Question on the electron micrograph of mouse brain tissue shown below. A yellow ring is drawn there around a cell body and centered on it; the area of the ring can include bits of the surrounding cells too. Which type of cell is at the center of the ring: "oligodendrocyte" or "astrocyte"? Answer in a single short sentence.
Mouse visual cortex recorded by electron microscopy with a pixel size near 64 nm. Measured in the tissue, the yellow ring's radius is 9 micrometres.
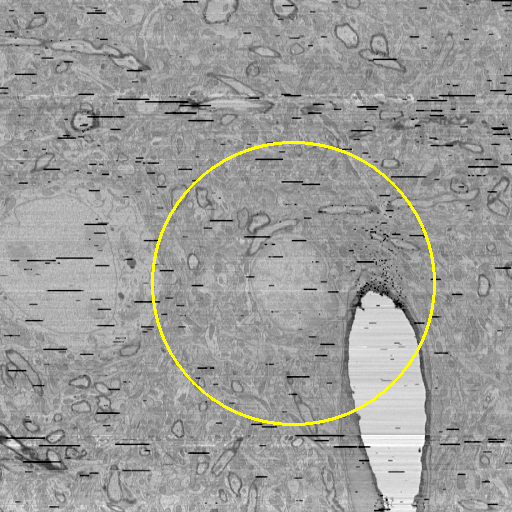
The ring is centered on an oligodendrocyte.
